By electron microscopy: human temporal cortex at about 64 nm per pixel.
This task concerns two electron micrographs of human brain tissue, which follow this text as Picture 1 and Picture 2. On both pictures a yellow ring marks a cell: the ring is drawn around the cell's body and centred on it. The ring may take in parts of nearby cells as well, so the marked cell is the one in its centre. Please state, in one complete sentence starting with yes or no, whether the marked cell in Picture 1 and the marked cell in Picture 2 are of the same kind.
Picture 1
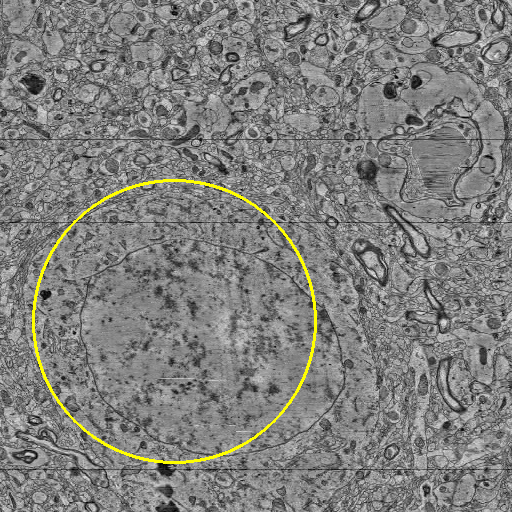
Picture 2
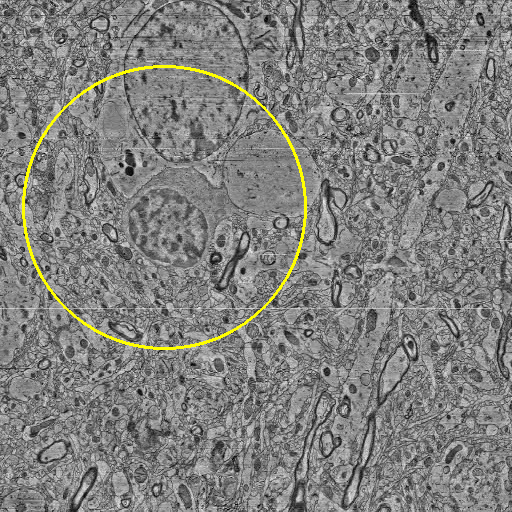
No, the marked cells in the two pictures are of two kinds.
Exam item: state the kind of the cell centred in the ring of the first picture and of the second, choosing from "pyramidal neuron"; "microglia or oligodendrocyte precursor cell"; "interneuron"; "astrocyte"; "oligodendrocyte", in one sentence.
The first picture shows a pyramidal neuron at the ring centre and the second shows an oligodendrocyte.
